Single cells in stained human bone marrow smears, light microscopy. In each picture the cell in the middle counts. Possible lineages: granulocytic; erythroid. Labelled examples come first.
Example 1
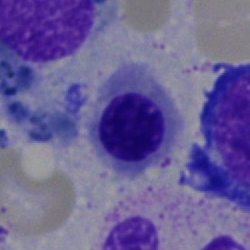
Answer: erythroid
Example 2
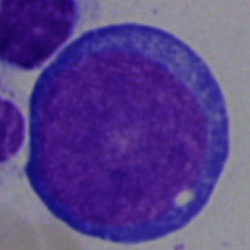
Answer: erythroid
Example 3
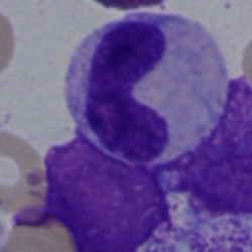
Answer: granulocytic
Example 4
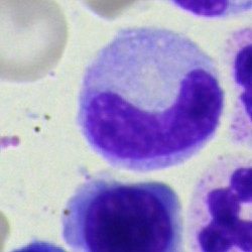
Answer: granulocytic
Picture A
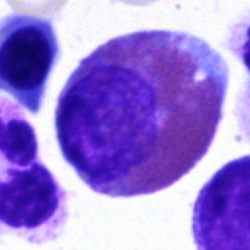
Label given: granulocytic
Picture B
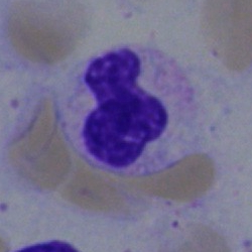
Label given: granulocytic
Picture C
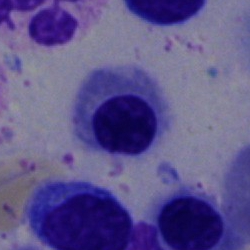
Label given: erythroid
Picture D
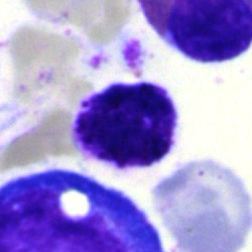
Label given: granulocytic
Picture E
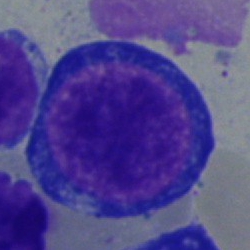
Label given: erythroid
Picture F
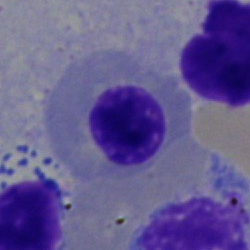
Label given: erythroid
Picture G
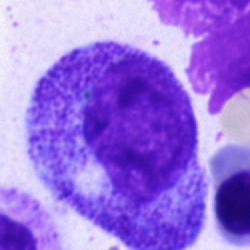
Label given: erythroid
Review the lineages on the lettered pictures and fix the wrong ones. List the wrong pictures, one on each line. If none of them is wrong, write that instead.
G: not erythroid but granulocytic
